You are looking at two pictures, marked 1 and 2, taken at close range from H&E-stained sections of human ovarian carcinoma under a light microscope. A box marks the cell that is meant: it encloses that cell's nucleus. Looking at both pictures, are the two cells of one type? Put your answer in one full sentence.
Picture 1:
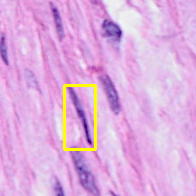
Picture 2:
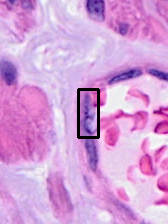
No. Picture 1 shows a fibroblast, but picture 2 shows an endothelial cell.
